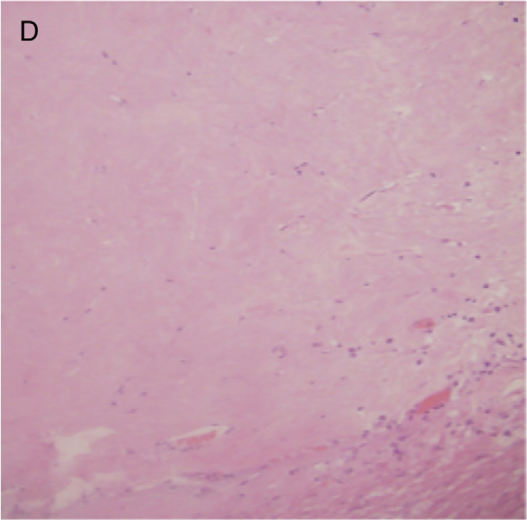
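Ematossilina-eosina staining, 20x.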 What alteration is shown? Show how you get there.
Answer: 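A broad field of homogeneous, glassy pink material. Almost no nuclei within the pink area. On this evidence: Sclerotic and hyaline regressive area.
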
